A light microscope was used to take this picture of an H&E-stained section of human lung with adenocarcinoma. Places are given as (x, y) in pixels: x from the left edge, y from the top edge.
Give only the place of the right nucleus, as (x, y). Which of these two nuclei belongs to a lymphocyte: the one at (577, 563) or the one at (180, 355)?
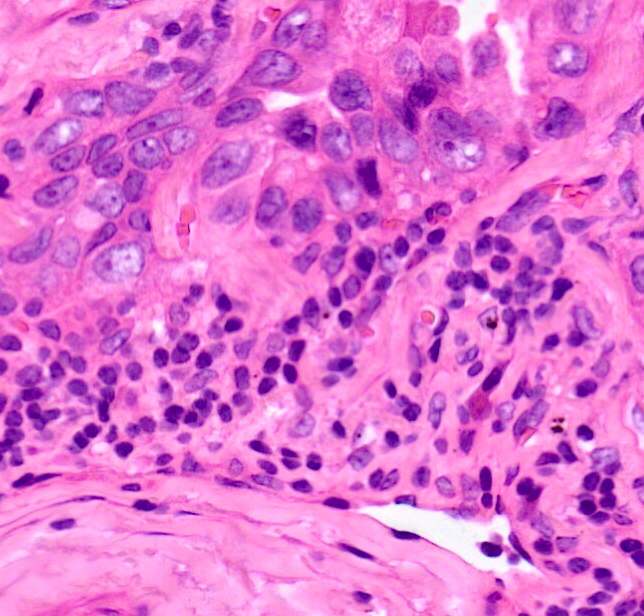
(180, 355)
